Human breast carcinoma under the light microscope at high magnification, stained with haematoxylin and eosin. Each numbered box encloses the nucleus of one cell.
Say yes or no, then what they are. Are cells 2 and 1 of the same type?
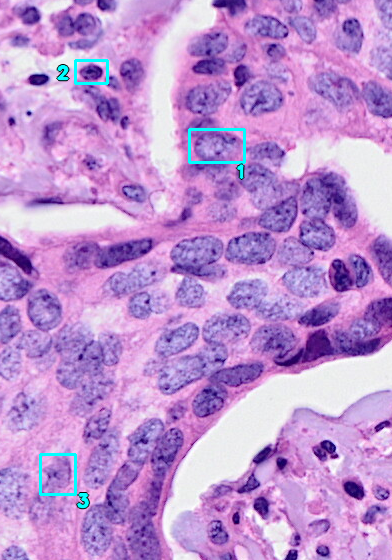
No, cell 2 is a lymphocyte and cell 1, for its part, is a carcinoma cell.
